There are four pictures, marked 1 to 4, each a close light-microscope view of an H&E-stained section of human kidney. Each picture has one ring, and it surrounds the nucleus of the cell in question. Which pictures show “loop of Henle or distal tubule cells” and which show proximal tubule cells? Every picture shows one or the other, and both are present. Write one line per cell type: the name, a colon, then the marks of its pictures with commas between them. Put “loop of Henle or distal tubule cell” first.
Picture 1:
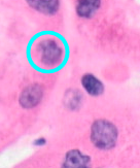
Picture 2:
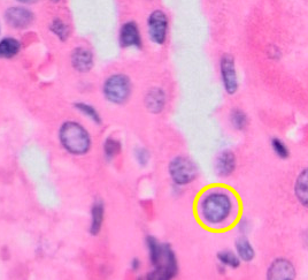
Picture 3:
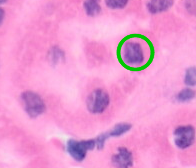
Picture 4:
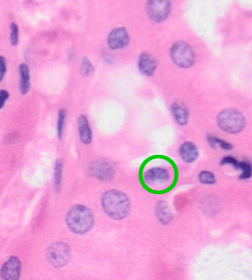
loop of Henle or distal tubule cell: 2, 4
proximal tubule cell: 1, 3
